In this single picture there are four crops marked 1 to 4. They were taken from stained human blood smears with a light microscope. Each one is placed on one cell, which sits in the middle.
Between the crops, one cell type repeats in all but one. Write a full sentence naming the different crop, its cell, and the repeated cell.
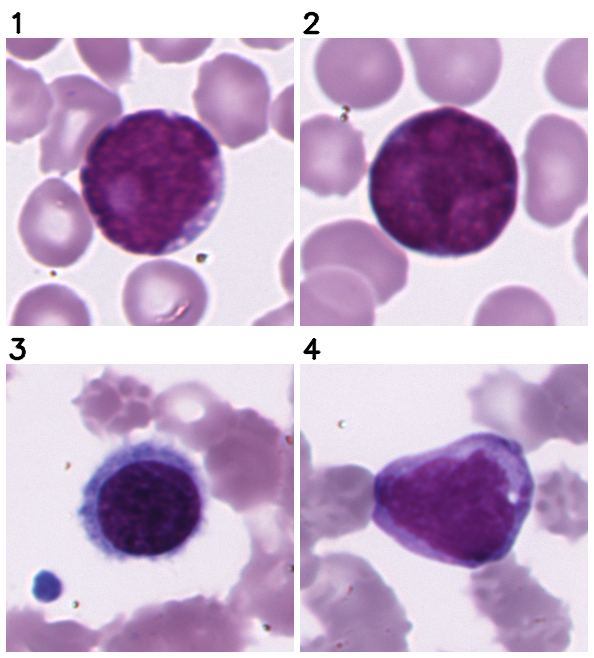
All crops show myeloblasts except crop 3, which is a hairy cell.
